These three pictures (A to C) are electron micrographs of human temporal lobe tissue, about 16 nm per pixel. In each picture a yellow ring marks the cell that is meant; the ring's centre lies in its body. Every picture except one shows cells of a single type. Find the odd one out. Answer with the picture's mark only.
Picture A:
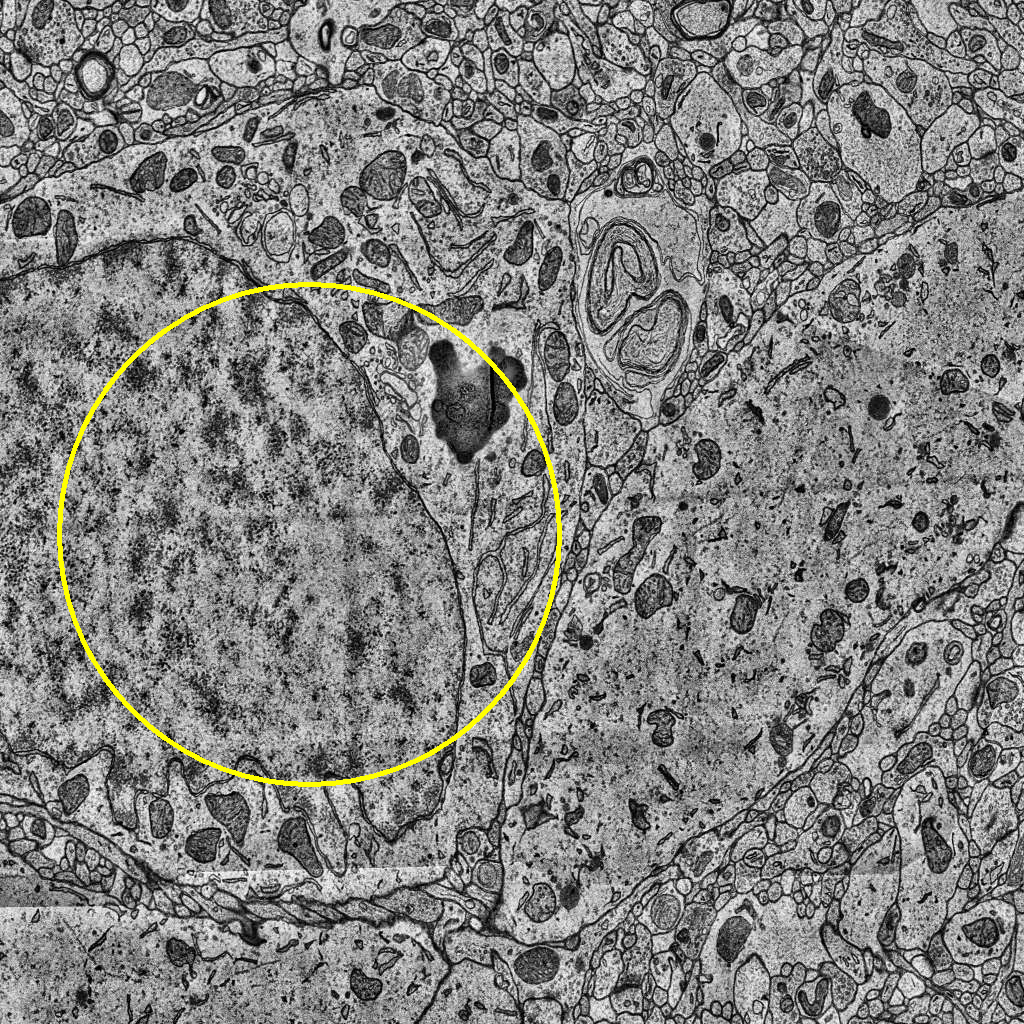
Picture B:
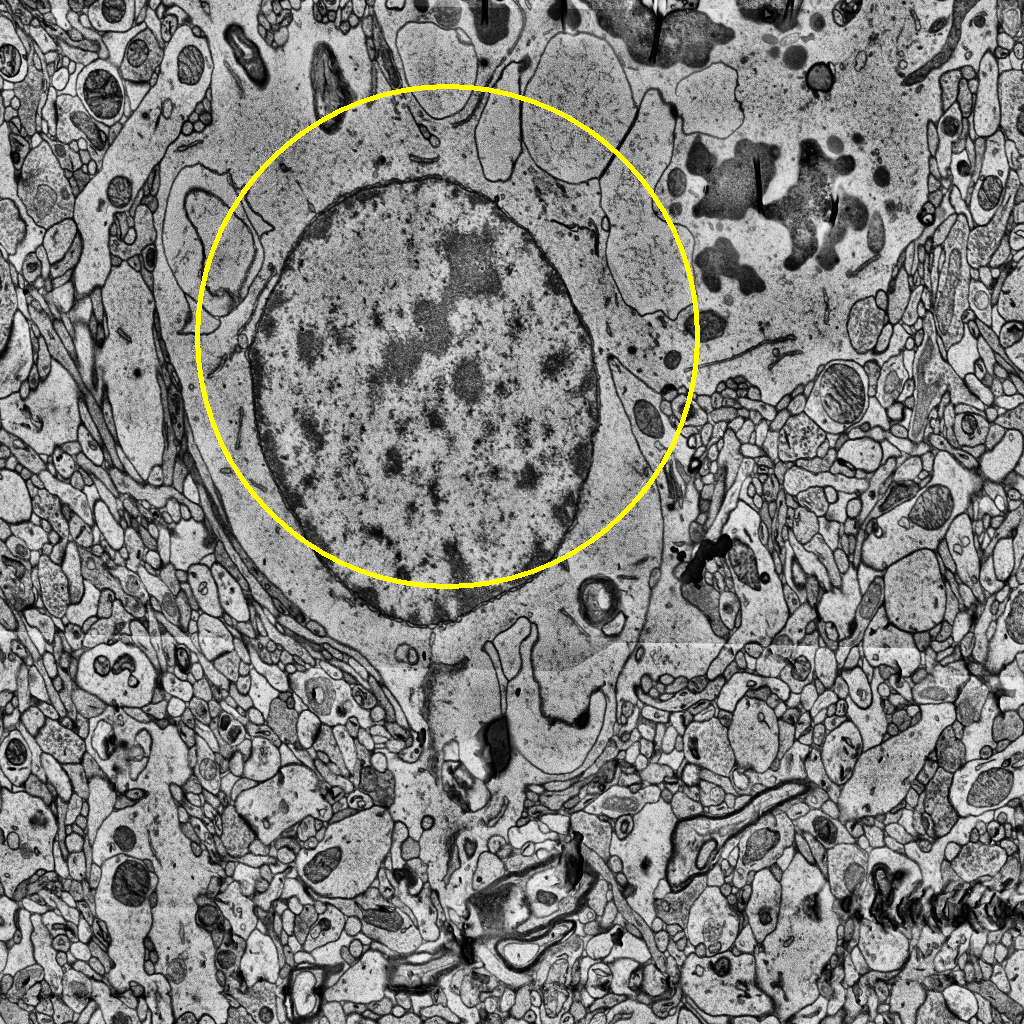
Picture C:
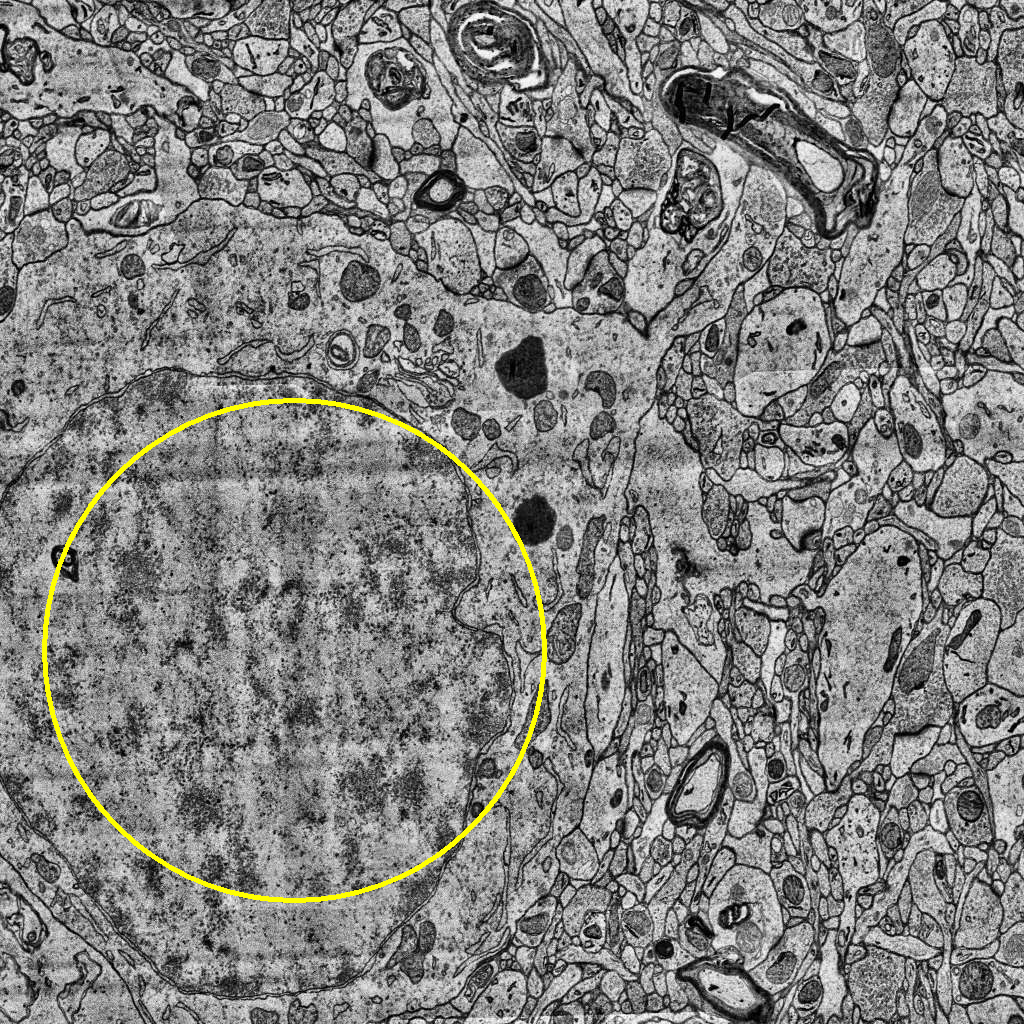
B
